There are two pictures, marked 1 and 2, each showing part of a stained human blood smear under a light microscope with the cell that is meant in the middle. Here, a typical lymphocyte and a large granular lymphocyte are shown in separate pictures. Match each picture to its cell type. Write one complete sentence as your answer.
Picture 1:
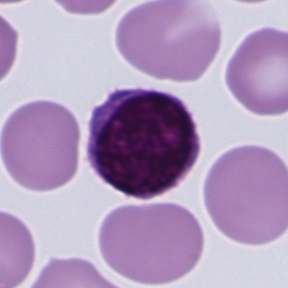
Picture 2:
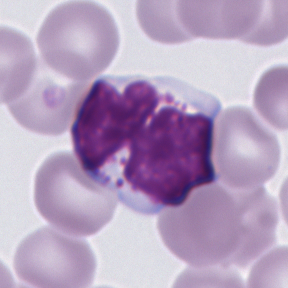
Picture 1 shows a typical lymphocyte and picture 2 shows a large granular lymphocyte.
